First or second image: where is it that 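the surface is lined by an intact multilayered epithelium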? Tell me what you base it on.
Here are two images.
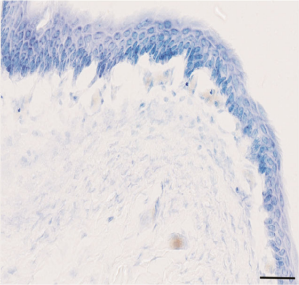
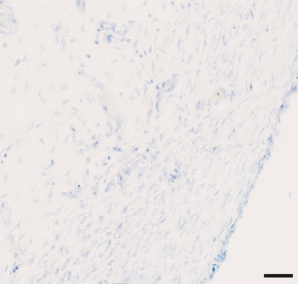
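Second image: the surface is formed by loose connective tissue with no continuous epithelial layer. First image: a continuous band of several layers of deep blue cells lines the surface.
Answer: the first image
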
